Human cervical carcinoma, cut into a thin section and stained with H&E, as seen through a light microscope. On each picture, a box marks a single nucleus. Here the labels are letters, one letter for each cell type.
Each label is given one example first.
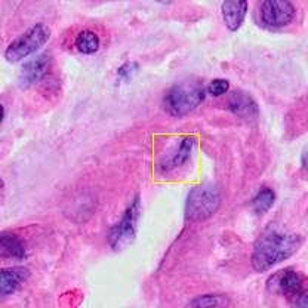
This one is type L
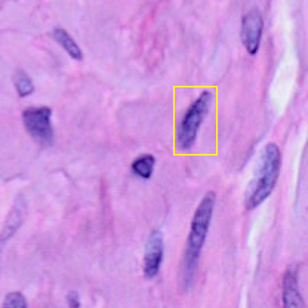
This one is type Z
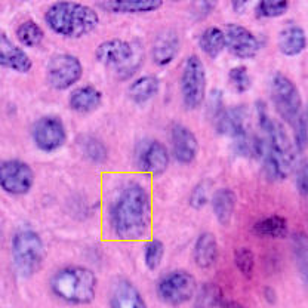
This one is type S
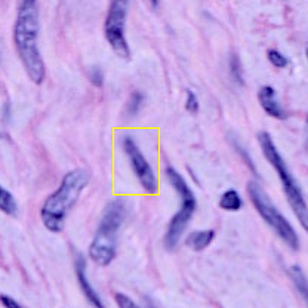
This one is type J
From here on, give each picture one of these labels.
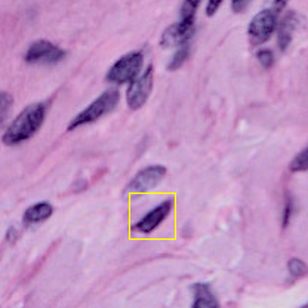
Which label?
type Z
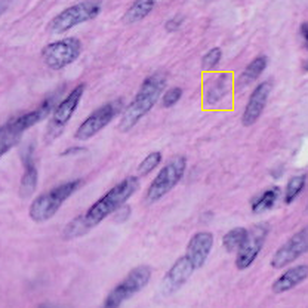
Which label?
type J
